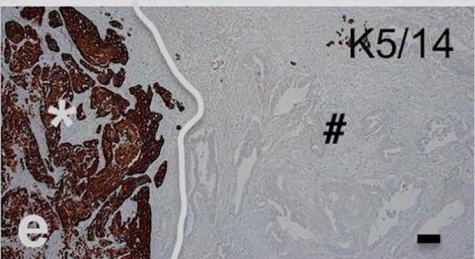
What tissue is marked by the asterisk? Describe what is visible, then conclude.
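Large solid tumour masses at the asterisk stain diffusely dark brown. Gland-like structures on the other side of the line are unstained.
Hence: squamous component.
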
